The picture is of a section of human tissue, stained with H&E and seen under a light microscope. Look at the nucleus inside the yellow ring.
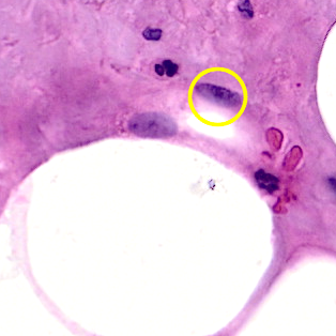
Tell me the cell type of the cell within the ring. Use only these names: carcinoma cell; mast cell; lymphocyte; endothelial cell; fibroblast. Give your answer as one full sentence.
It is as a fibroblast that the cell within the ring is recorded.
